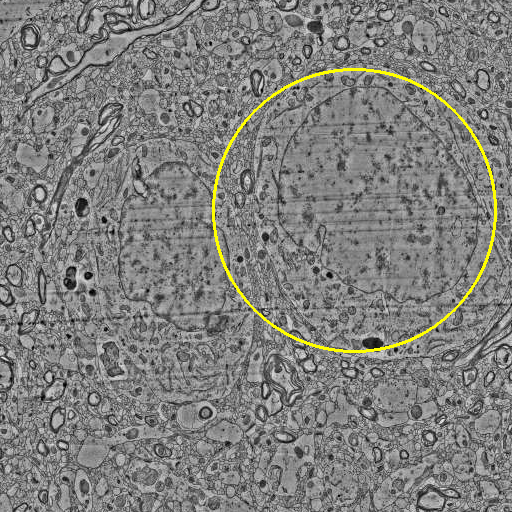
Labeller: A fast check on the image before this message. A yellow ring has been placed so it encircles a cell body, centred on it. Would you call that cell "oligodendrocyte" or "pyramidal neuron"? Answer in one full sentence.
In this image, a pyramidal neuron is the cell on which the yellow ring is centred.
